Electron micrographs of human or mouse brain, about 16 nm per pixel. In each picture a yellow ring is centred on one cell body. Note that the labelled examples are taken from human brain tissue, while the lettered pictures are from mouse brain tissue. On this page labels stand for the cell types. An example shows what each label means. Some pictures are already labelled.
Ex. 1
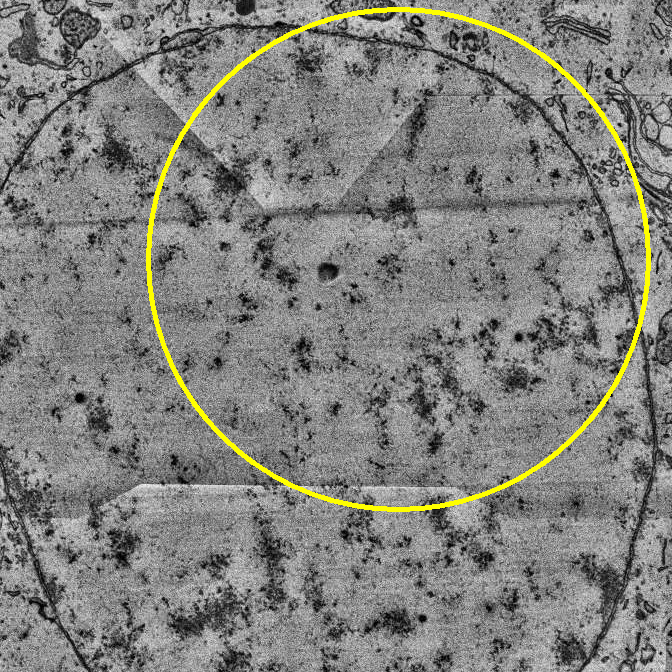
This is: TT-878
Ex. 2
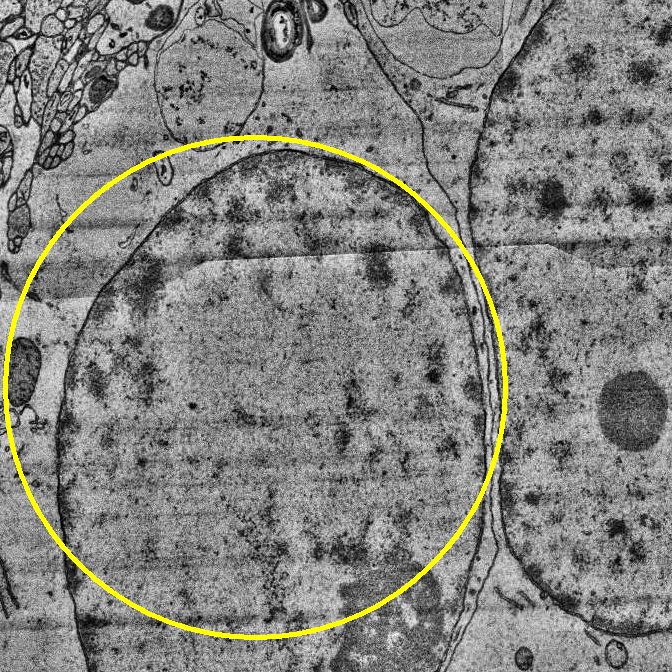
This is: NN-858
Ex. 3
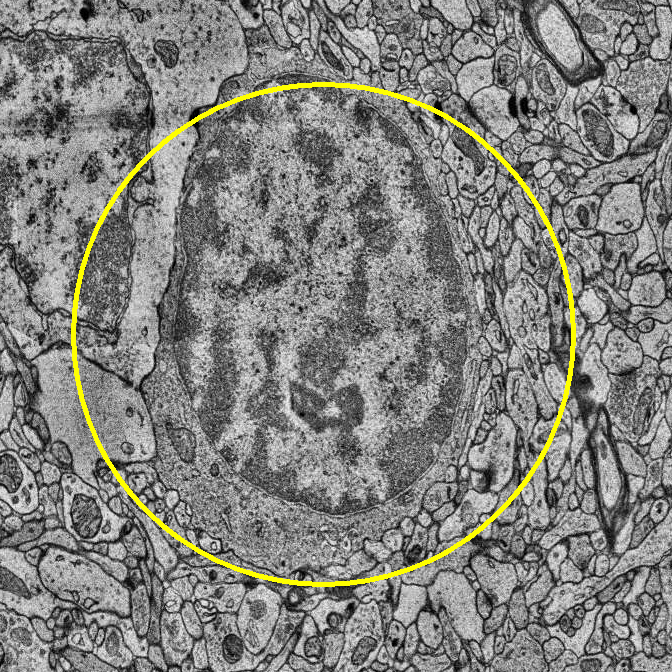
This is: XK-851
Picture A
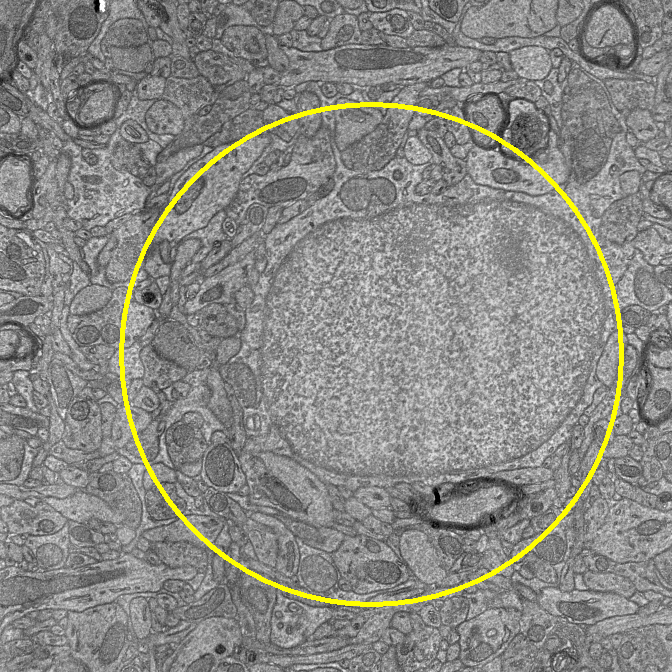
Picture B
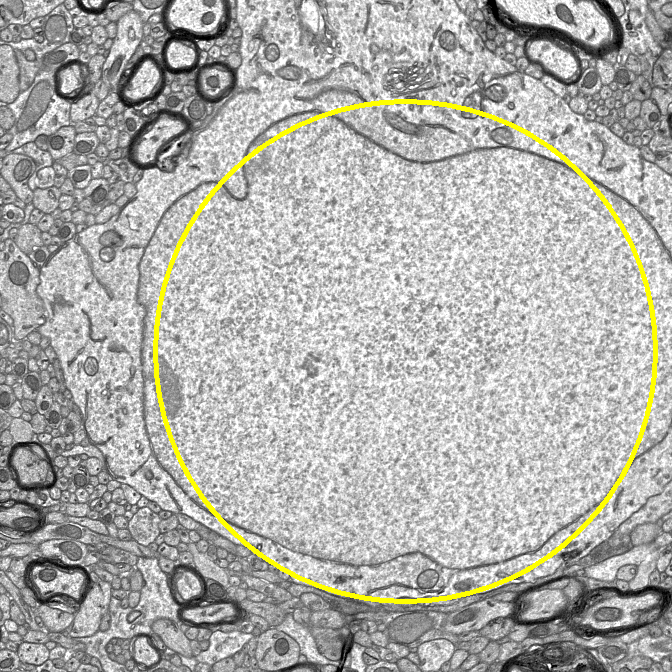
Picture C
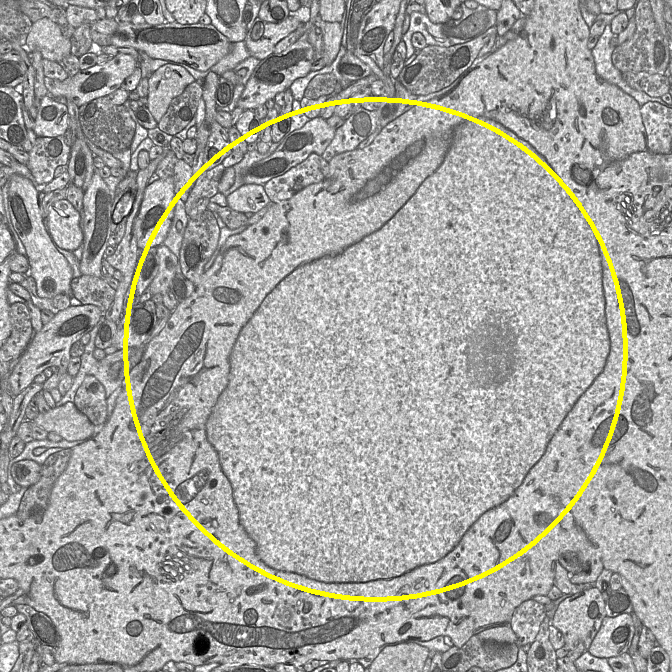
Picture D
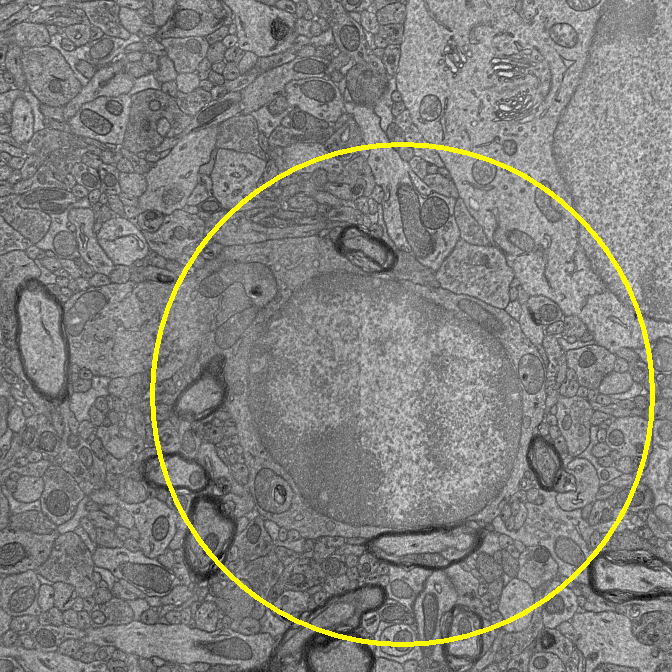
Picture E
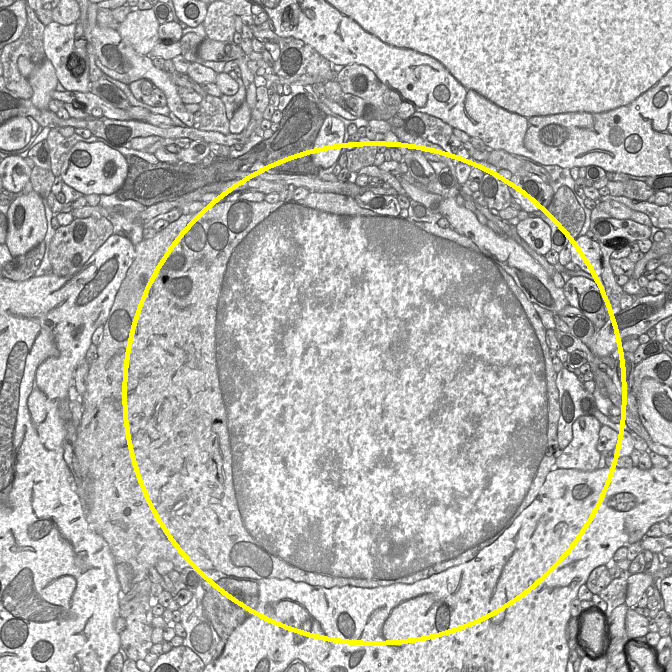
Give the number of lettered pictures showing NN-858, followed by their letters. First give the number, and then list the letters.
1, namely A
